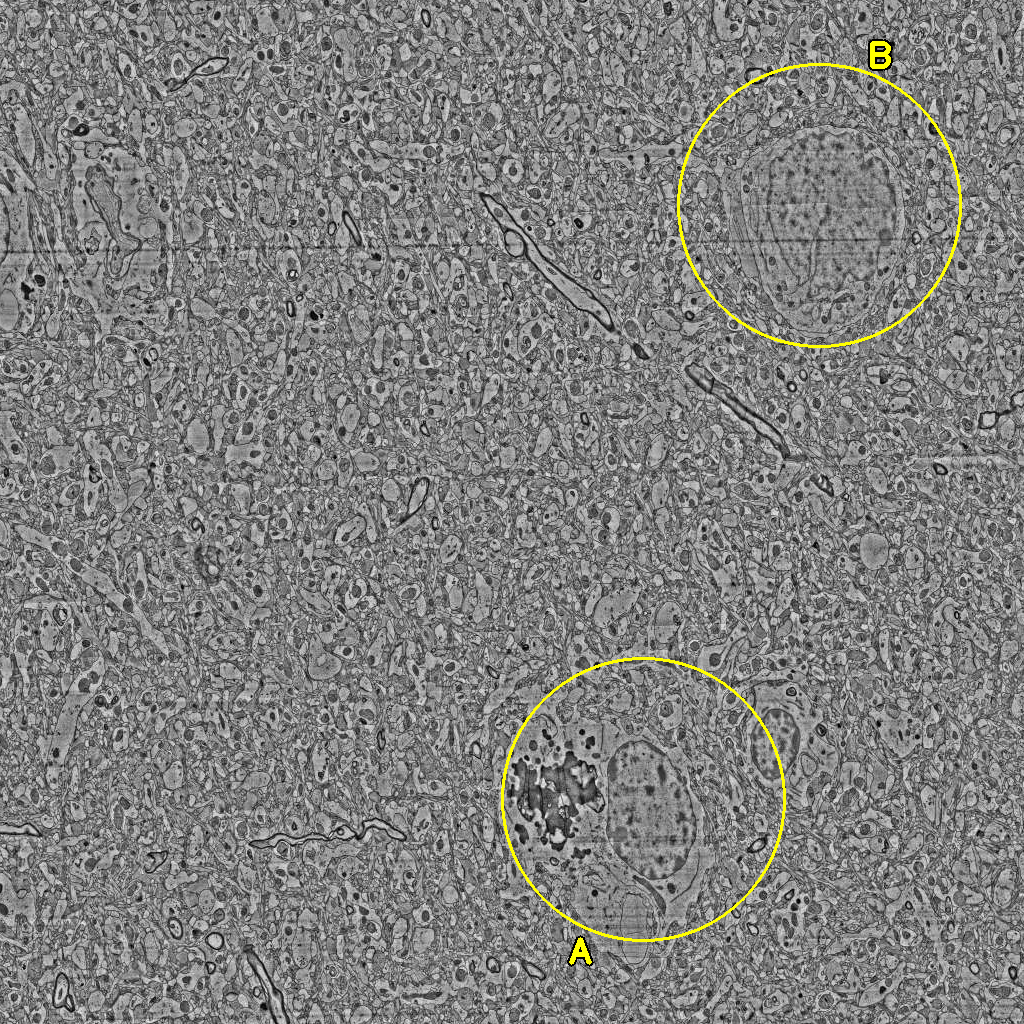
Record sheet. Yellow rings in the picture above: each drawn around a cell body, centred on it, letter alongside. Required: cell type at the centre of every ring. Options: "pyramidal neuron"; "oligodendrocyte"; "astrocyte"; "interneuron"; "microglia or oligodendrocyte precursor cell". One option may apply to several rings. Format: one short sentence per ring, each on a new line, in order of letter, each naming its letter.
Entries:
Ring A contains an astrocyte at the centre.
Ring B contains an interneuron at the centre.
